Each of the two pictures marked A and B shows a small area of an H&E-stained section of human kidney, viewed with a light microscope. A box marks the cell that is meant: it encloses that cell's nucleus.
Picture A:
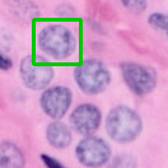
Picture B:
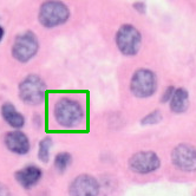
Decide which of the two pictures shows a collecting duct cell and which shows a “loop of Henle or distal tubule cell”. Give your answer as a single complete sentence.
Picture A is of a collecting duct cell, and picture B is of a “loop of Henle or distal tubule cell”.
